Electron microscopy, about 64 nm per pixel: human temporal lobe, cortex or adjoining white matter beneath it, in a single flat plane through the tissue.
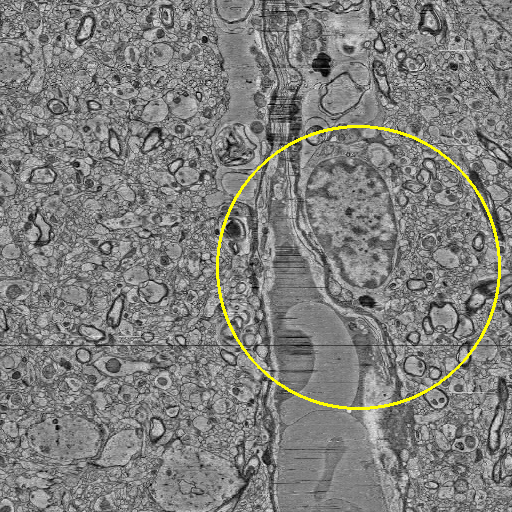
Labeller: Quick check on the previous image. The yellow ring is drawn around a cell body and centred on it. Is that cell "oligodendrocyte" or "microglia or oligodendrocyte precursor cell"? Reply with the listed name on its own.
oligodendrocyte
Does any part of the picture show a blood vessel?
Yes.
